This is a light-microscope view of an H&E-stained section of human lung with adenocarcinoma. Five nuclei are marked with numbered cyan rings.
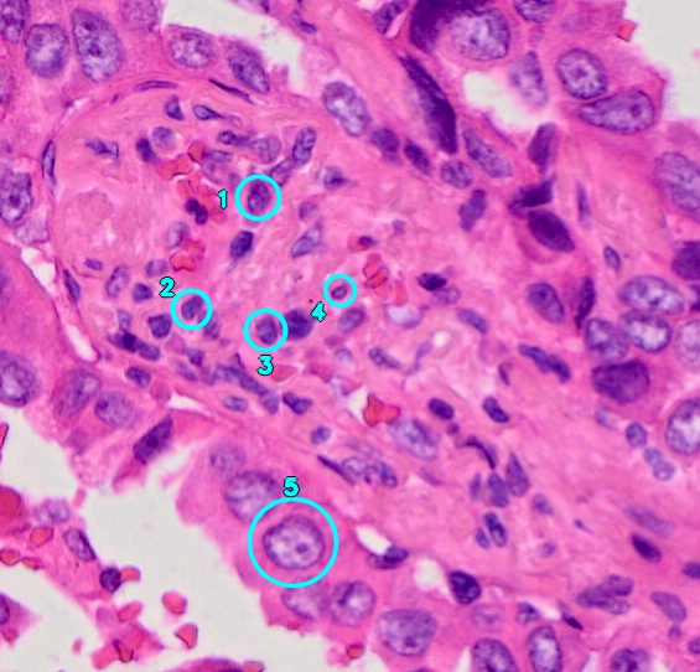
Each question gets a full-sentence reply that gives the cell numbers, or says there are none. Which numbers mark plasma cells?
Response: cell 1 is a plasma cell, and no other numbered cell is.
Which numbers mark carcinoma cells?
Cell 5 is a carcinoma cell; every other numbered cell is something else.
